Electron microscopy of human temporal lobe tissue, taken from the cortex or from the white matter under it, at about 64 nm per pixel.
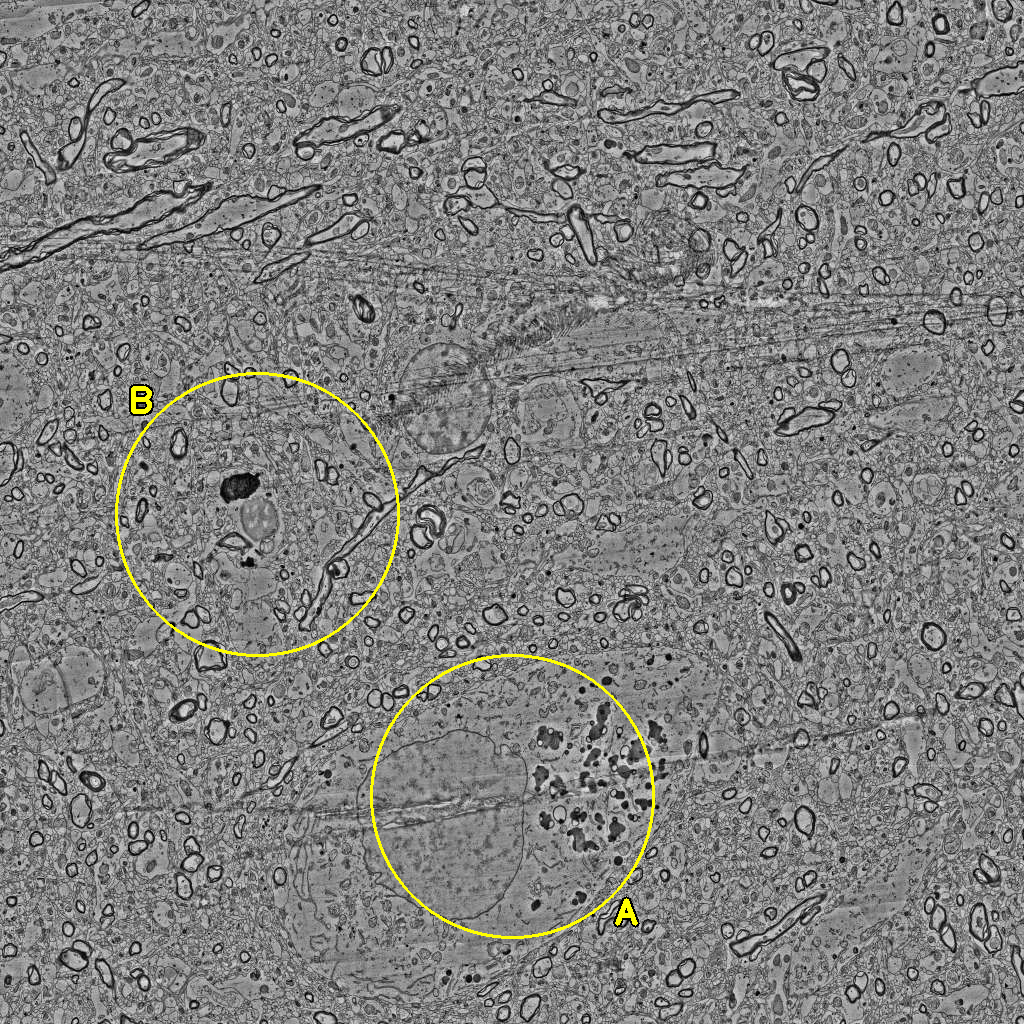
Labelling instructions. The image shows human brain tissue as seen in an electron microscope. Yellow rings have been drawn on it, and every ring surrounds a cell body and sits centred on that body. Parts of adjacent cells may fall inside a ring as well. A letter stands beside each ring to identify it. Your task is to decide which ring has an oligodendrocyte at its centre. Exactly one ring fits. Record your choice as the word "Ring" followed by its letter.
Ring B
